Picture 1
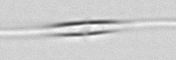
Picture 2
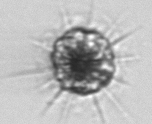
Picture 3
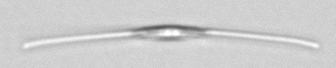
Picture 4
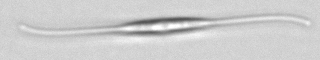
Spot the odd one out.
Picture 2 (a radiolarian among Cylindrotheca).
